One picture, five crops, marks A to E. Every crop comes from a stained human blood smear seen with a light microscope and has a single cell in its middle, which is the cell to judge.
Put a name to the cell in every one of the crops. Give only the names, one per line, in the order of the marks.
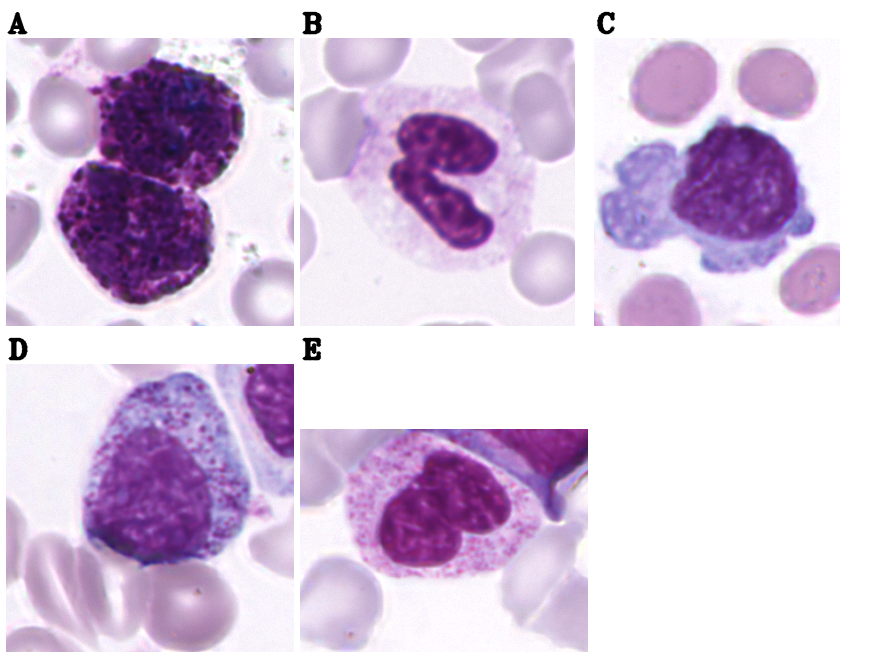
basophil
segmented neutrophil
plasma cell
promyelocyte
band neutrophil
